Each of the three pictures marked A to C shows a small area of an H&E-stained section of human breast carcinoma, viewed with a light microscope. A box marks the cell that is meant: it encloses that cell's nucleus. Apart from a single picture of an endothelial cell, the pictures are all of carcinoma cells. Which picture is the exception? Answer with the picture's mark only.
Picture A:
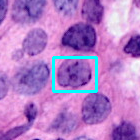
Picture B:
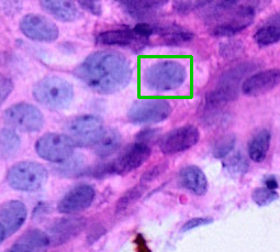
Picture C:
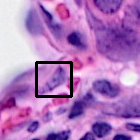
C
